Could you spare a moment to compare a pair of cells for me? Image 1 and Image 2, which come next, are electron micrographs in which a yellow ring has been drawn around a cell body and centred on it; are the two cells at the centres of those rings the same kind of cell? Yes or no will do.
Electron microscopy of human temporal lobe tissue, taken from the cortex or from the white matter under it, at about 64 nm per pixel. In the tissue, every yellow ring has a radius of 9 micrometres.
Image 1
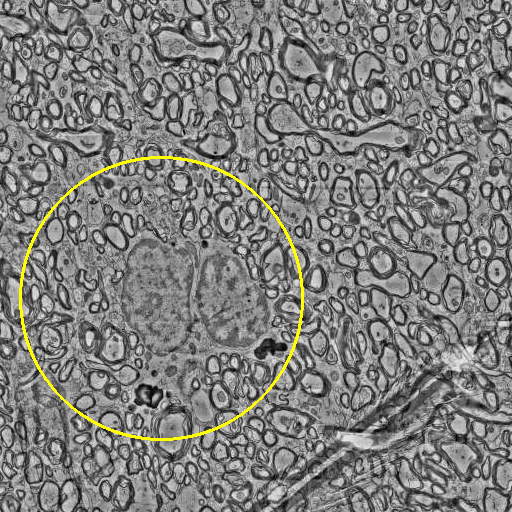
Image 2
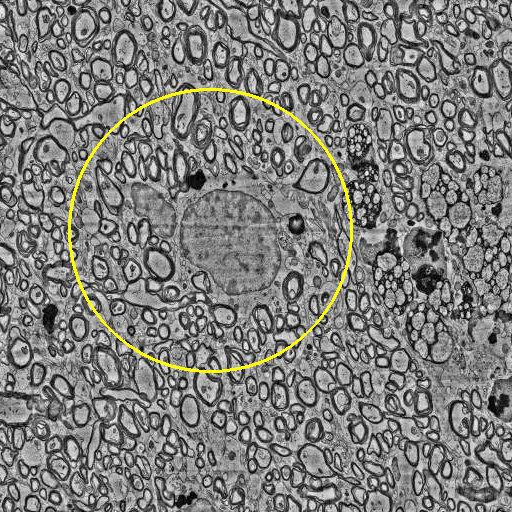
yes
